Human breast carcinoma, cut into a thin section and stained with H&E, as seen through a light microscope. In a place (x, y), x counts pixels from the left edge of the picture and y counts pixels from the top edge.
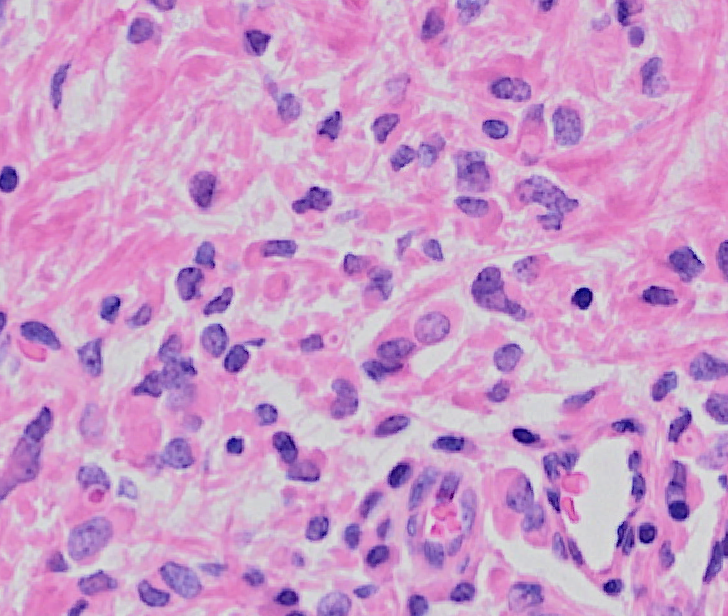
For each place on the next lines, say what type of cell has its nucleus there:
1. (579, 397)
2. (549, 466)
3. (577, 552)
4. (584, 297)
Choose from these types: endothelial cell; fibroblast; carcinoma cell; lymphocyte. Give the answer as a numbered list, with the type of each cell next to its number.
1. fibroblast
2. endothelial cell
3. endothelial cell
4. lymphocyte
